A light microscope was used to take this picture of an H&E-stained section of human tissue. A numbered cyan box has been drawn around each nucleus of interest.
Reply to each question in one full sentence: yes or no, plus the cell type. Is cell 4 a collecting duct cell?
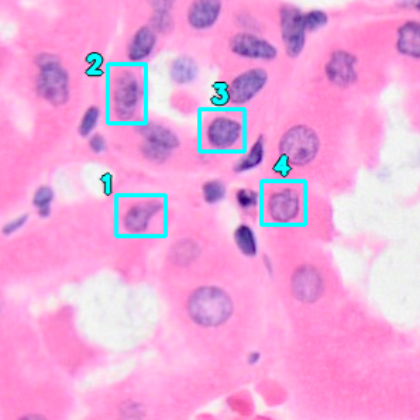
No, cell number 4 is identified as a proximal tubule cell, not as a collecting duct cell.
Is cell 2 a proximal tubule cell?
No, cell 2 is not a proximal tubule cell at all but a collecting duct cell.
